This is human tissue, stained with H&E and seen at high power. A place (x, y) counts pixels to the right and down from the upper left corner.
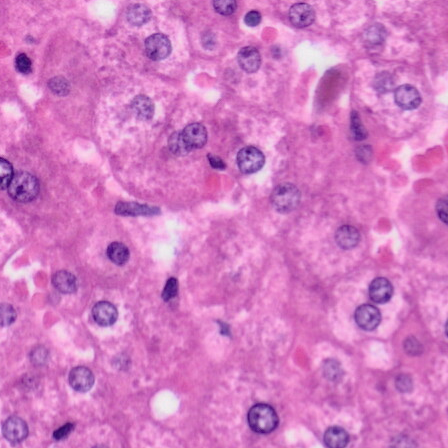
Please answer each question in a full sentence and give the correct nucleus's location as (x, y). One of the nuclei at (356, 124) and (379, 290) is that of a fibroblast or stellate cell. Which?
It is at (356, 124) that the nucleus of a fibroblast or stellate cell is found.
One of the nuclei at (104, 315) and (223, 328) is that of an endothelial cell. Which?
Of the two nuclei, the nucleus belonging to an endothelial cell is located at (223, 328).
